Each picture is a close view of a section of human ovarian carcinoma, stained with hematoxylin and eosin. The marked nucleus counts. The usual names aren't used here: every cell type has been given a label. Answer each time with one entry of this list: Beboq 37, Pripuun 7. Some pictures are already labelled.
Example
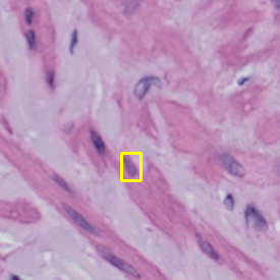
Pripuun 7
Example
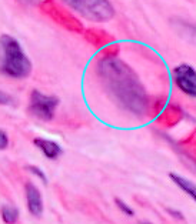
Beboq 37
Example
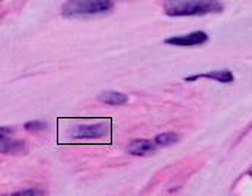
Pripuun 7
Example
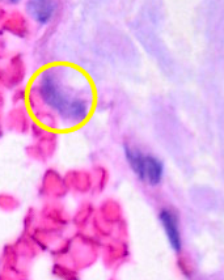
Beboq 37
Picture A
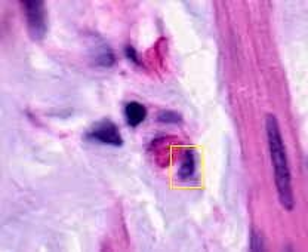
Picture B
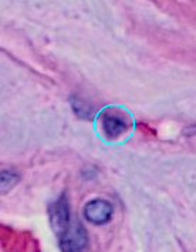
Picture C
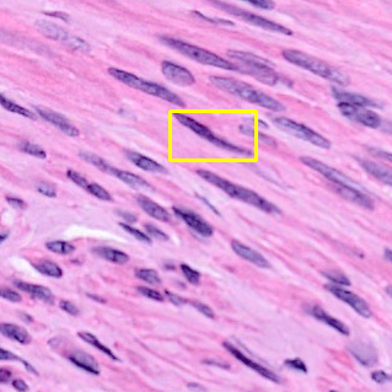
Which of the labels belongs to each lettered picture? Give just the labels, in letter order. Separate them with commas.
Beboq 37, Beboq 37, Pripuun 7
